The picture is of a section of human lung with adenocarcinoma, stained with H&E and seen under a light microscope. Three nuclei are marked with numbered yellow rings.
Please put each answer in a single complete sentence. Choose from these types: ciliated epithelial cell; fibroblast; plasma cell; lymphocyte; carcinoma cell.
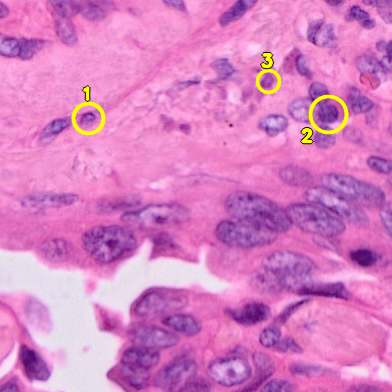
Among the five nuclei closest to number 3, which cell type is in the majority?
Fibroblasts make up most of the five nuclei closest to number 3.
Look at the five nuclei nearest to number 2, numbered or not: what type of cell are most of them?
Lymphocytes account for more than half of the five nuclei nearest to number 2.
